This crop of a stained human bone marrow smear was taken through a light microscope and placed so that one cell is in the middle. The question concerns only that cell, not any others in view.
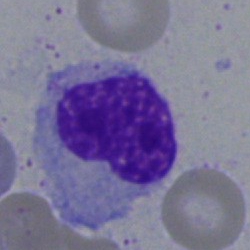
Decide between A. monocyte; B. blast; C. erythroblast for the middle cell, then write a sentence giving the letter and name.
Since the cell in the centre is a monocyte, the correct option is A.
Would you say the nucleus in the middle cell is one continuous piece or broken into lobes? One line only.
If you check the nucleus, you will find one compact mass, round, oval or kidney-shaped.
